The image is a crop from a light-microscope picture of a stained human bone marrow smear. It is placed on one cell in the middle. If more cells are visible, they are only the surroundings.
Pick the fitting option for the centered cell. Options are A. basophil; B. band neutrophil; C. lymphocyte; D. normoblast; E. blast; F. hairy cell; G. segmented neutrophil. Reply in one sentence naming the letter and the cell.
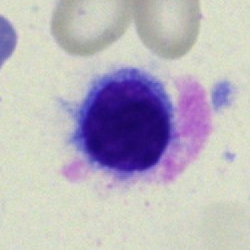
Since the cell in the middle is a hairy cell, option F is correct.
